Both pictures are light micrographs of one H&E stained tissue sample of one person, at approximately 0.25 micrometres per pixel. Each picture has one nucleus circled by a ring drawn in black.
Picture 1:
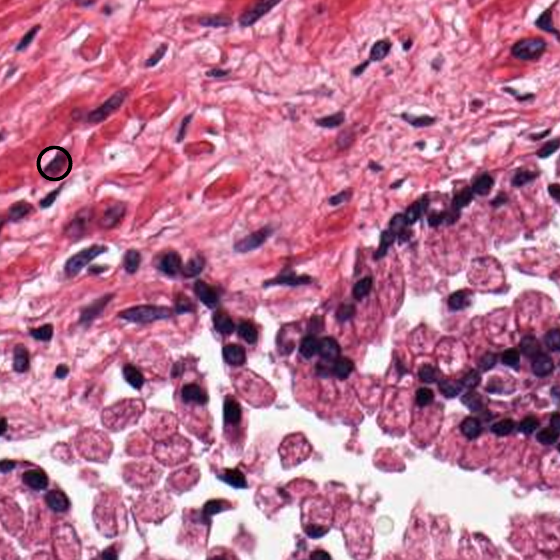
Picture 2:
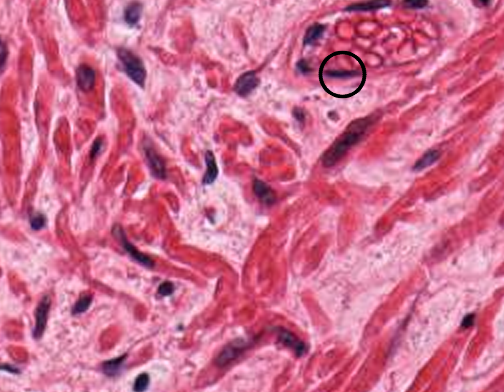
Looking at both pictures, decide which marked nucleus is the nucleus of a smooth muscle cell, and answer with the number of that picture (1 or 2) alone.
1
